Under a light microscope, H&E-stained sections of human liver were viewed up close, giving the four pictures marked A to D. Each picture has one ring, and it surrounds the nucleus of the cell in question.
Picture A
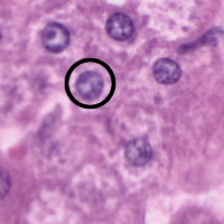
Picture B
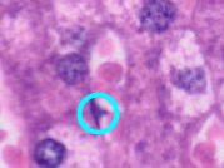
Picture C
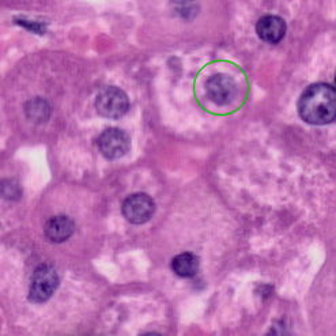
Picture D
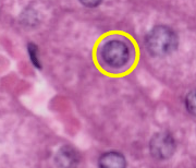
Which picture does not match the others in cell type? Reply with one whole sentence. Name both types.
Unlike the rest, which show hepatocytes, picture B shows an endothelial cell.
